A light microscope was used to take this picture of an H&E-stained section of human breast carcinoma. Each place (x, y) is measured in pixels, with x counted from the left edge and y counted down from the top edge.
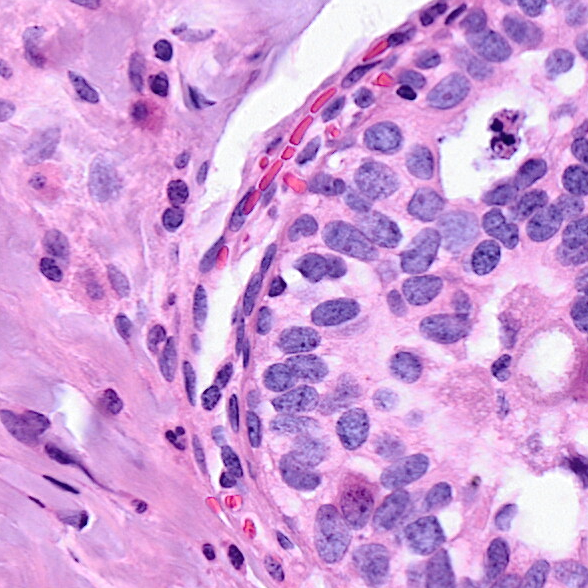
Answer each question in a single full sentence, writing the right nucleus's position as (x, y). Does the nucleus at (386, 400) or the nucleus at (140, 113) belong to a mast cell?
The nucleus positioned at (140, 113) forms part of a mast cell.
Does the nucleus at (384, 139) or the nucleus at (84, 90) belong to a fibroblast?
Of the two nuclei, it is the one at (84, 90) that lies within a fibroblast.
